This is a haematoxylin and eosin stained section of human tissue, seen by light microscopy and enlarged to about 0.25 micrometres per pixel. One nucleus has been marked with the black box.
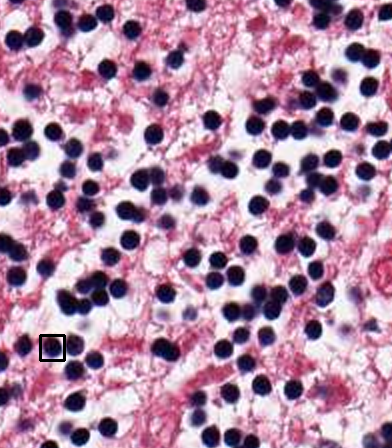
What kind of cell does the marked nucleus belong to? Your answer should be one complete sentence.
The marked nucleus is identified as belonging to a cerebellar granule cell.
